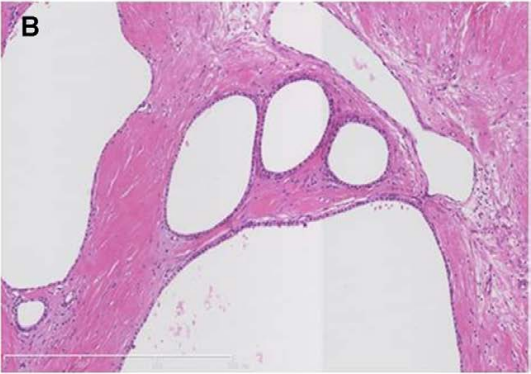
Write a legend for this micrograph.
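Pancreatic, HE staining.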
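Cystic neoplasm tissue shows several large, empty, rounded cystic spaces. Each cyst is lined by a single layer of small cuboidal epithelial cells with round nuclei. Between the cysts lie broad bands of pale pink, sparsely cellular fibrous stroma.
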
